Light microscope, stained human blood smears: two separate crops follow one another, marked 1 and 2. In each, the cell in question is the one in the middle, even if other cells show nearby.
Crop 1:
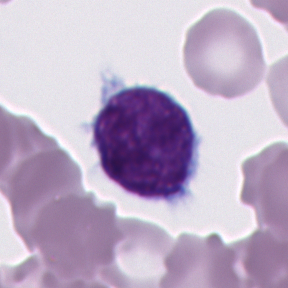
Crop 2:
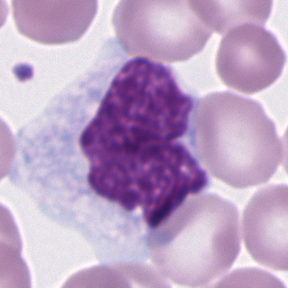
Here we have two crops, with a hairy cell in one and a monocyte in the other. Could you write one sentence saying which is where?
Represented in crop 1 is a hairy cell; represented in crop 2 is a monocyte.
